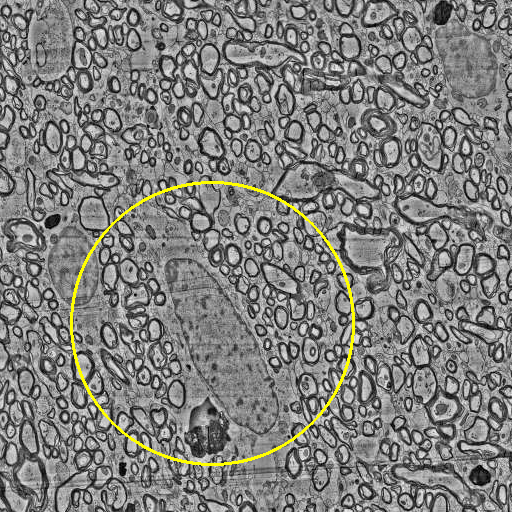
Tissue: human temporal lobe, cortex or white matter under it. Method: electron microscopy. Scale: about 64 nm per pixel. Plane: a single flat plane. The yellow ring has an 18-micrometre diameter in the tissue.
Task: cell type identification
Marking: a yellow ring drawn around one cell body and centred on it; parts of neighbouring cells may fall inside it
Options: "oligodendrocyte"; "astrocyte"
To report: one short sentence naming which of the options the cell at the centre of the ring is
The cell at the centre of the ring is an astrocyte.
